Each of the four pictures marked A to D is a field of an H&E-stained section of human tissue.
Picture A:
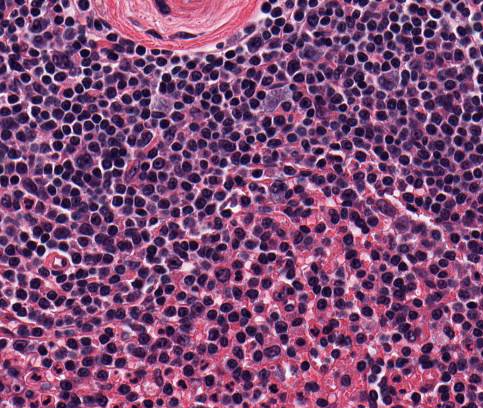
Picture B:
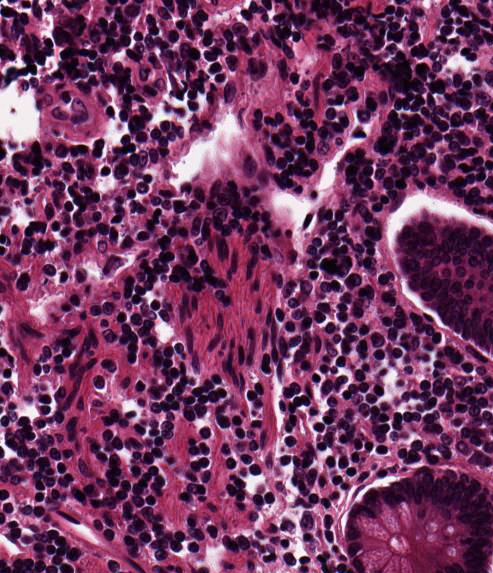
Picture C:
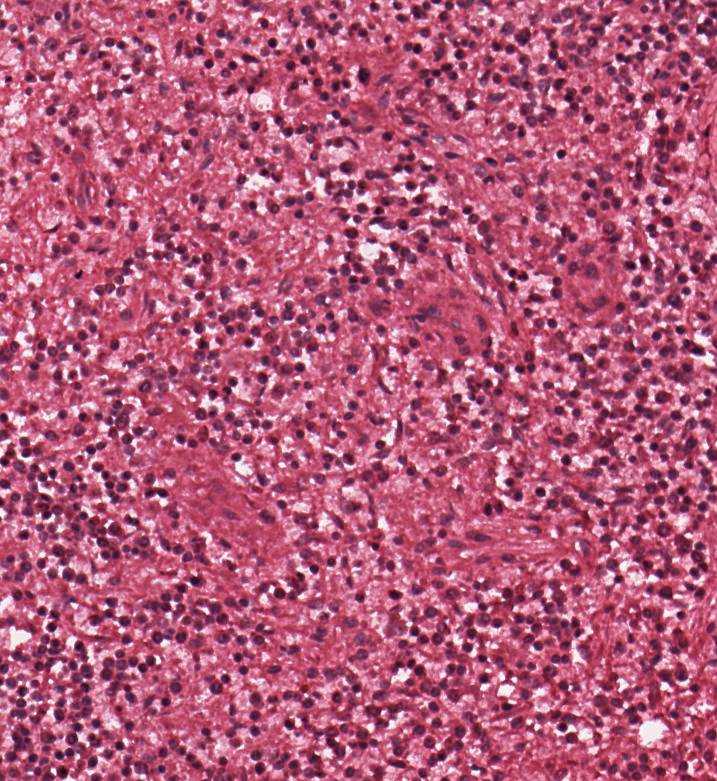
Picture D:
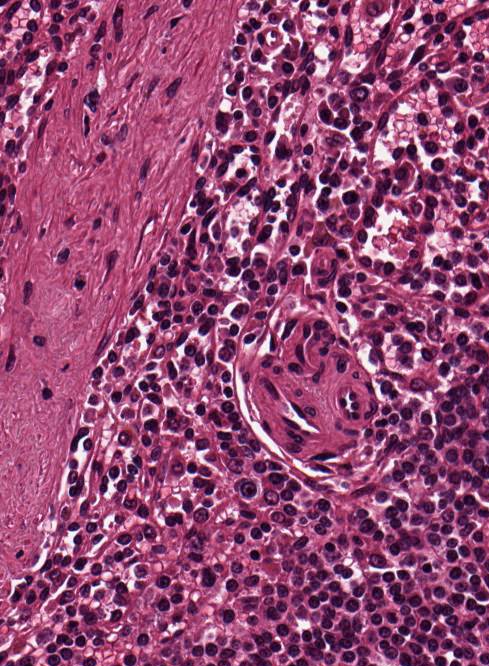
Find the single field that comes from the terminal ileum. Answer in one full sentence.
It is picture B that comes from the terminal ileum.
